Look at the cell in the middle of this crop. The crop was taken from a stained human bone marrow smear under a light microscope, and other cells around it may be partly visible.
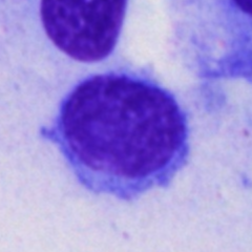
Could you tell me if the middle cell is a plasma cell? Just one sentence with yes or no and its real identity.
No, what occupies the middle of the crop is a hairy cell and not a plasma cell.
